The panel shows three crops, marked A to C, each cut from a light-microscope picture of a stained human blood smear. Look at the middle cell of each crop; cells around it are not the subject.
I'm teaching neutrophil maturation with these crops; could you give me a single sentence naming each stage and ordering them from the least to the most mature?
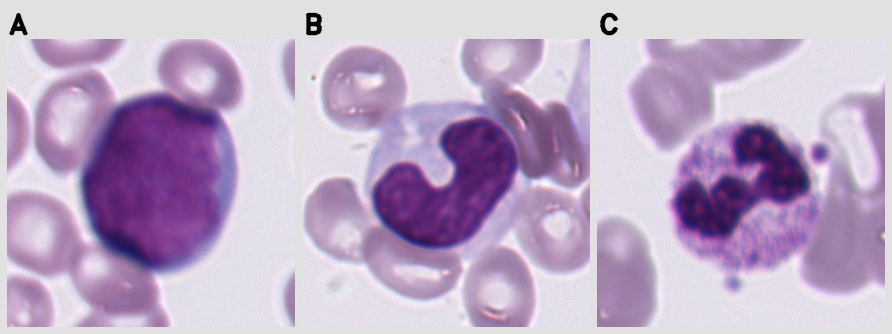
In terms of maturity, from lowest to highest, the order reads crop A (a myeloblast), crop B (a band neutrophil) and crop C (a segmented neutrophil).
